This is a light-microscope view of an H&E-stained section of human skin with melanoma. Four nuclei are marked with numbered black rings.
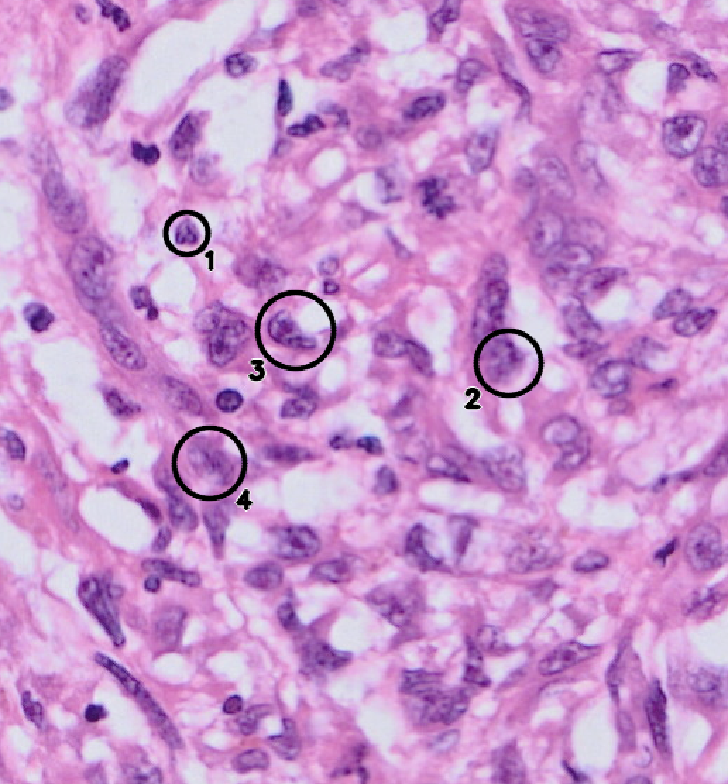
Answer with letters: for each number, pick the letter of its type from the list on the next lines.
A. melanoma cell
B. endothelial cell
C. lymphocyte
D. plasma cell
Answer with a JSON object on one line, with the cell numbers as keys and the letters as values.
{"1": "C", "2": "A", "3": "A", "4": "A"}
